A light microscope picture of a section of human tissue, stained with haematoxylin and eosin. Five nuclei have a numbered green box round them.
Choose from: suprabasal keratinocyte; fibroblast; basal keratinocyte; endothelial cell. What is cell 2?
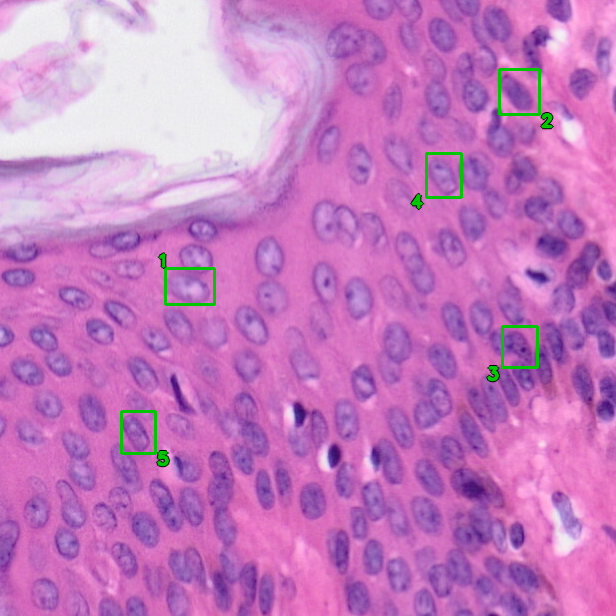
basal keratinocyte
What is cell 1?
suprabasal keratinocyte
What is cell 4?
suprabasal keratinocyte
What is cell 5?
suprabasal keratinocyte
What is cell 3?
basal keratinocyte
